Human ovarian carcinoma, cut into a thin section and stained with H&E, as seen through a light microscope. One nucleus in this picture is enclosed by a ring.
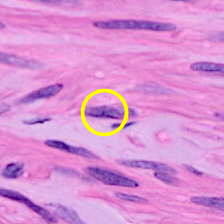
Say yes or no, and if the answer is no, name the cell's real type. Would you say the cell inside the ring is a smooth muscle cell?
Yes.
